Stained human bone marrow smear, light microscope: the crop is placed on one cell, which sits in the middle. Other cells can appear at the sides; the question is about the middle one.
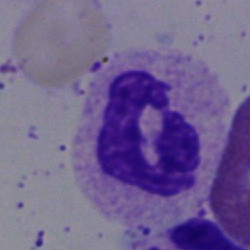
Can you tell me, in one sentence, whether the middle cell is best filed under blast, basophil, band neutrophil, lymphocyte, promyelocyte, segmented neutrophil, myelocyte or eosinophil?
Present in the middle of the crop is a segmented neutrophil.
